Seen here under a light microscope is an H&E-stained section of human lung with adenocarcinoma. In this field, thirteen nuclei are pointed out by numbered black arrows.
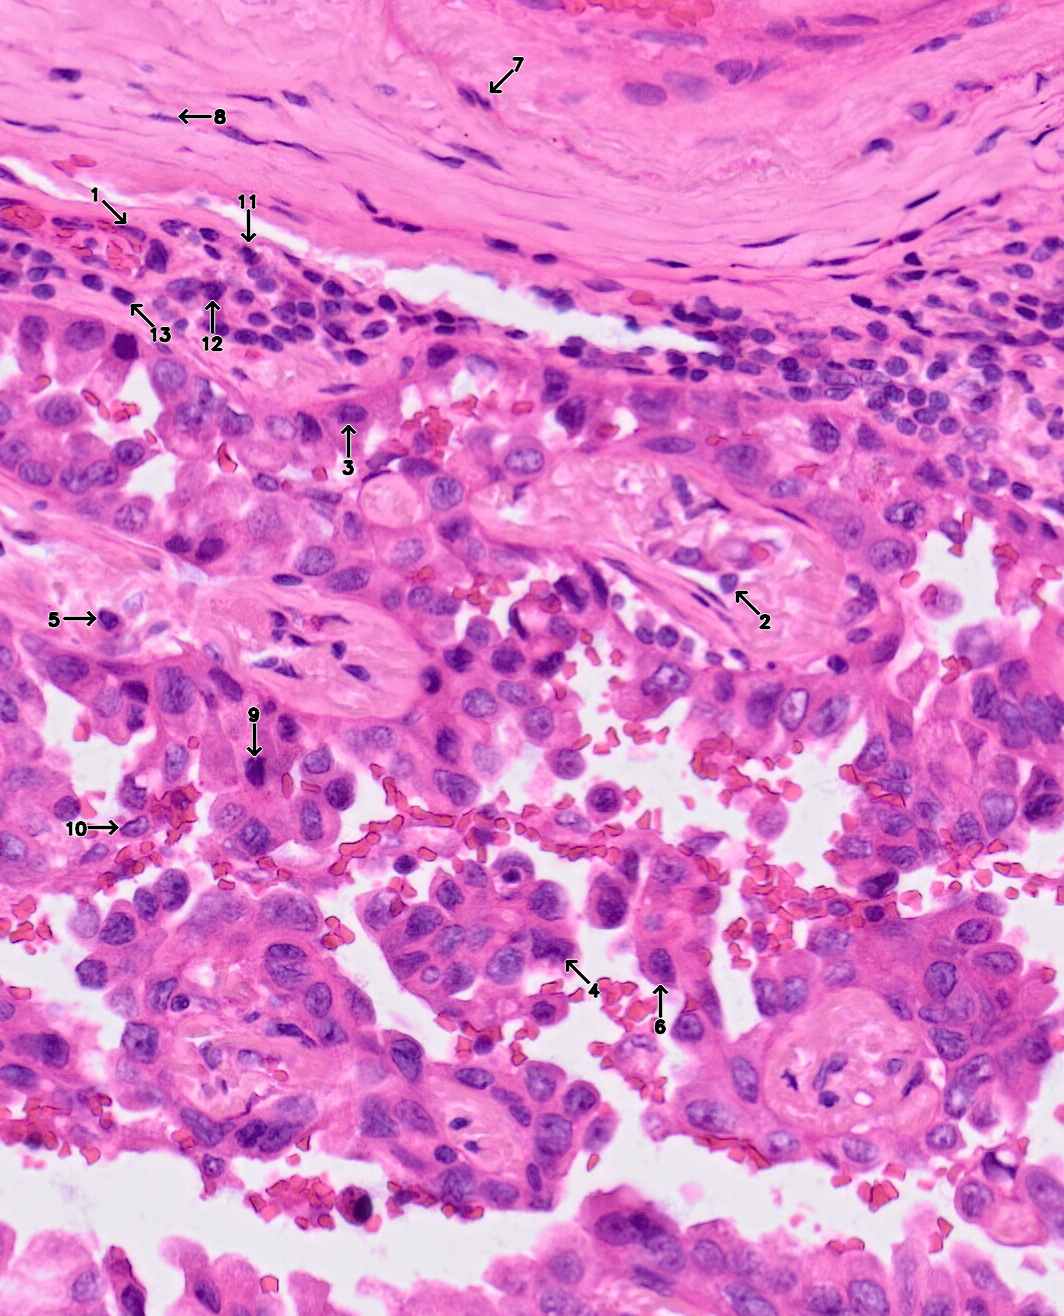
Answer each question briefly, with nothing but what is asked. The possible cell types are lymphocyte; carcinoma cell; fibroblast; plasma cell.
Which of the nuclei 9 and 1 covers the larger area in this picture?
9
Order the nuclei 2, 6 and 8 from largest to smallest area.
6, 2, 8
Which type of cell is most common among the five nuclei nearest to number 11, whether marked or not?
lymphocyte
